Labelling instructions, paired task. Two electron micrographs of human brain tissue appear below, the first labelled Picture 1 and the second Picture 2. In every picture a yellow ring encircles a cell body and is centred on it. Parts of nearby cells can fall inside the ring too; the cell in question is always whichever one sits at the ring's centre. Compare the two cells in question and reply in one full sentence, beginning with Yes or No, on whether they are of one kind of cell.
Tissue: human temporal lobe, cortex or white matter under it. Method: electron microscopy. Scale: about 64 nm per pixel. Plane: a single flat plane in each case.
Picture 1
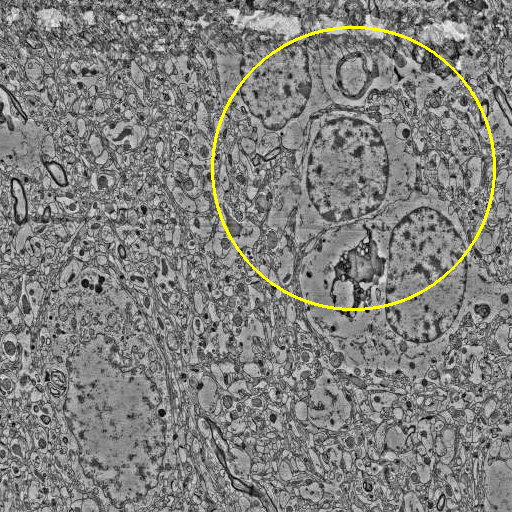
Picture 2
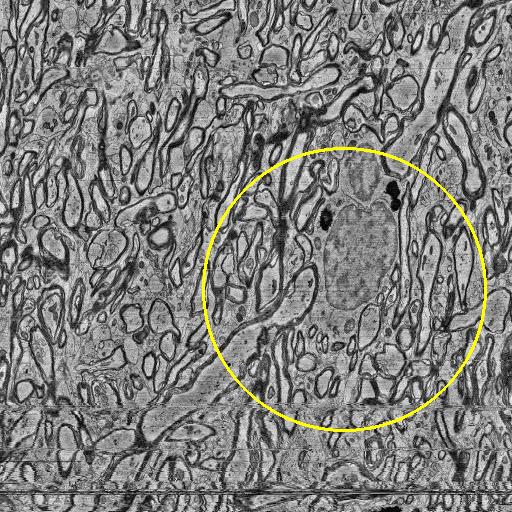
No, the two cells at the ring centres in Picture 1 and Picture 2 are of two kinds.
